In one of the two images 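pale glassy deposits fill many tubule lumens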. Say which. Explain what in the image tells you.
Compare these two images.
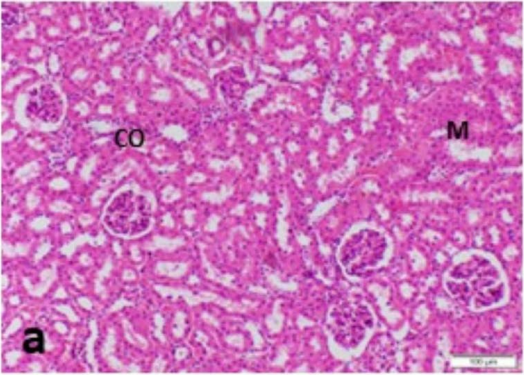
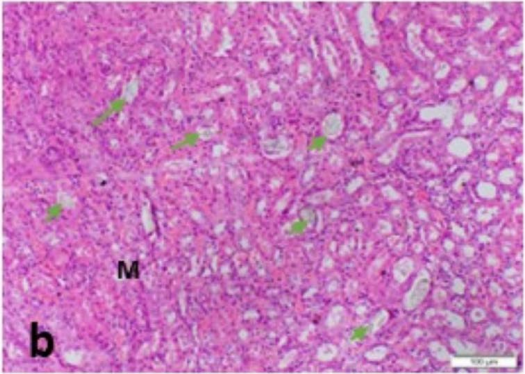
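The second image. First image: tubule lumens are open and empty. Second image: many tubule lumens hold pale grey glassy material.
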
